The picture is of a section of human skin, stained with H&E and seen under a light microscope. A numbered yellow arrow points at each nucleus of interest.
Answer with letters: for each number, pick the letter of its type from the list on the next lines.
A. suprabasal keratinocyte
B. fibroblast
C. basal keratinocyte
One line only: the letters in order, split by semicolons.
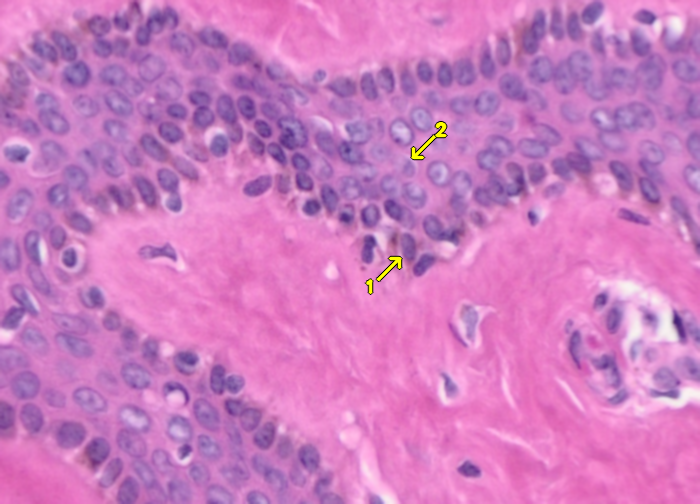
C; A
